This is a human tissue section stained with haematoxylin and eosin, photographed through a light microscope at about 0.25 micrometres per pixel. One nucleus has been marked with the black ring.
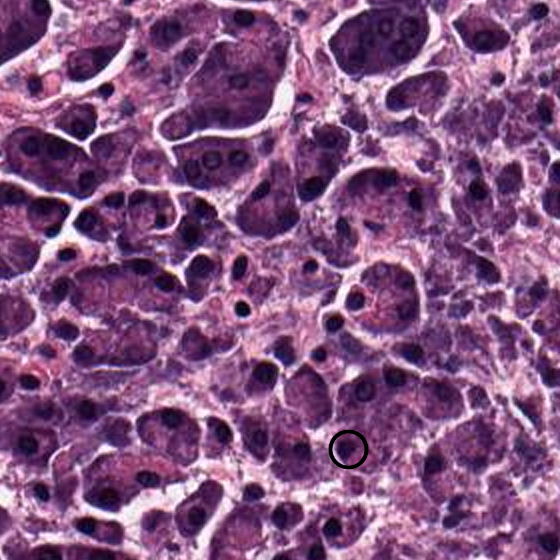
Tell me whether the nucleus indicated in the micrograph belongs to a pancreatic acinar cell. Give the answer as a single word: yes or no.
yes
